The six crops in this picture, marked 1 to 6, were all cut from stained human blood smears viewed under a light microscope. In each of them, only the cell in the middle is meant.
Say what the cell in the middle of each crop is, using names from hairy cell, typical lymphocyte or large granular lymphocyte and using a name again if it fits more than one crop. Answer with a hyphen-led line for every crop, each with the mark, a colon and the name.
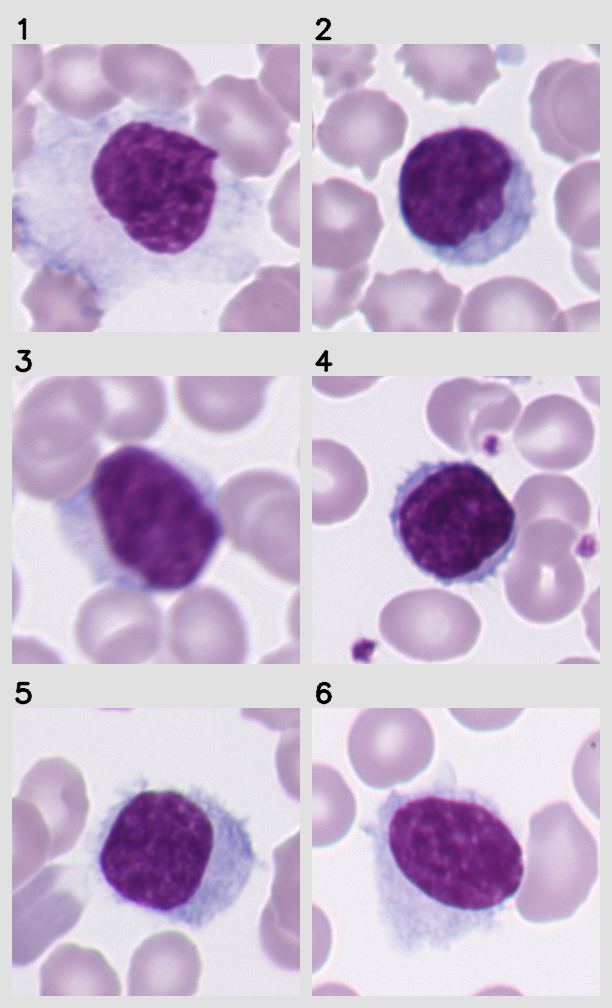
- 1: hairy cell
- 2: hairy cell
- 3: typical lymphocyte
- 4: typical lymphocyte
- 5: hairy cell
- 6: hairy cell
